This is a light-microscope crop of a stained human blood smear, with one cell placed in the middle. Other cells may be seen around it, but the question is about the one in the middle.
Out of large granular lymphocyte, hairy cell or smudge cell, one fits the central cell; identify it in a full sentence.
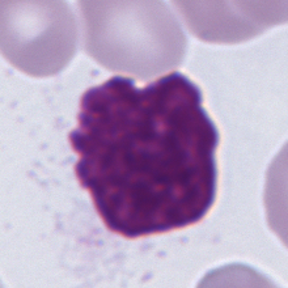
The cell at the central position in this crop is a smudge cell.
